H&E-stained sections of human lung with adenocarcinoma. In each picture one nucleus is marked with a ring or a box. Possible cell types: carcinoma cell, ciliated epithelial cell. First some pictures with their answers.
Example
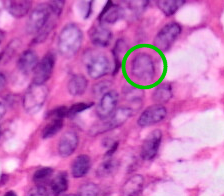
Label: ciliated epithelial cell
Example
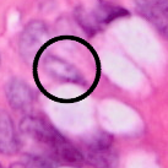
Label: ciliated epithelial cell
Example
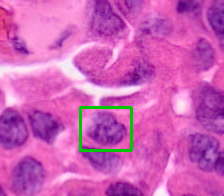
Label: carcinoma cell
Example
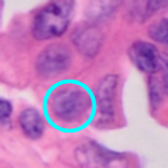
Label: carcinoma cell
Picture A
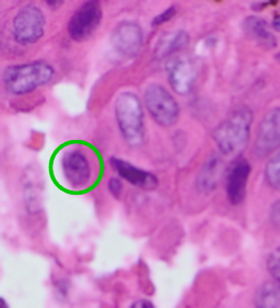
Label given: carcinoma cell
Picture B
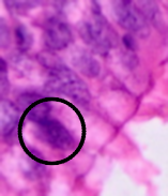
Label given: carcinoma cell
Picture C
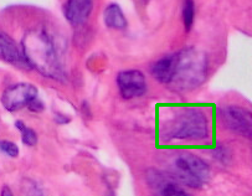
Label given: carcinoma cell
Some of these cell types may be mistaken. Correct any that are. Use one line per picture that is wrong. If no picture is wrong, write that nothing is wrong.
B: ciliated epithelial cell, not carcinoma cell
